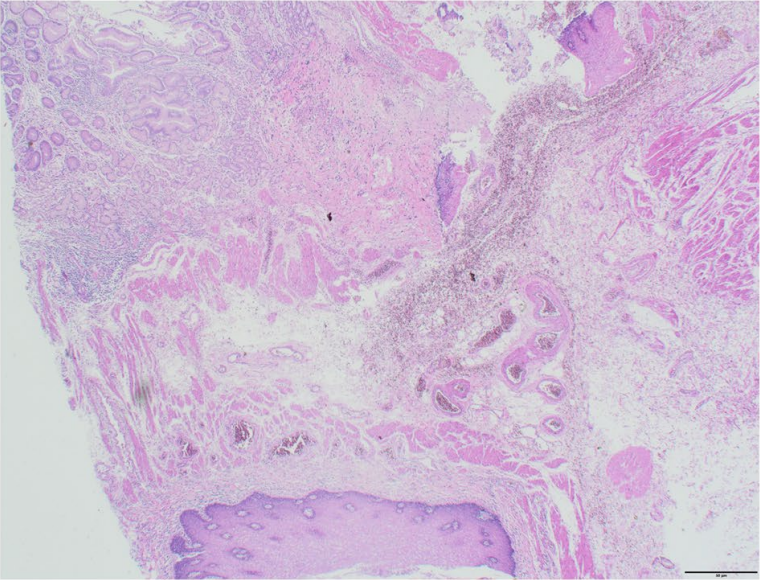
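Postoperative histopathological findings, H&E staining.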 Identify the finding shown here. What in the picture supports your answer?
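Vasodilatation. Several vessels with wide lumens lie in the stroma. Many lumens are filled with red-brown blood.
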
